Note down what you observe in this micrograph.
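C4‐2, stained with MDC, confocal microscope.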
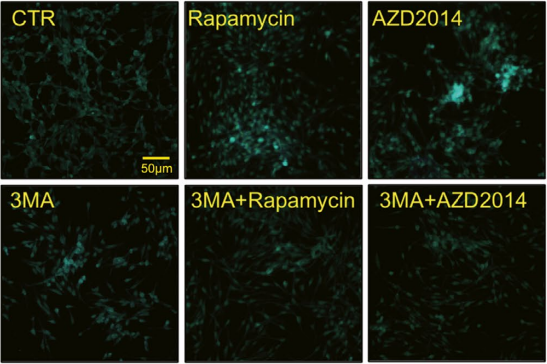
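Many cells are elongated or spindle-shaped with thin processes, spread singly or in loose networks rather than tight clusters. In some fields the cells lie crowded together in brighter patches, while in others they are sparser and dimmer.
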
